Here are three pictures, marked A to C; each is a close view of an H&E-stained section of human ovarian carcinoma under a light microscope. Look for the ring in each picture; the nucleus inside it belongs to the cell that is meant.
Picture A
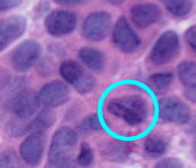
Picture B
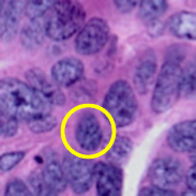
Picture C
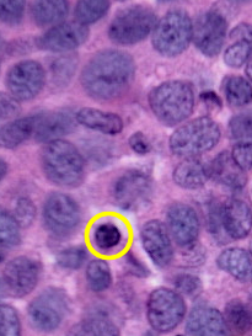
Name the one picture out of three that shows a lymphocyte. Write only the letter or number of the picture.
C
